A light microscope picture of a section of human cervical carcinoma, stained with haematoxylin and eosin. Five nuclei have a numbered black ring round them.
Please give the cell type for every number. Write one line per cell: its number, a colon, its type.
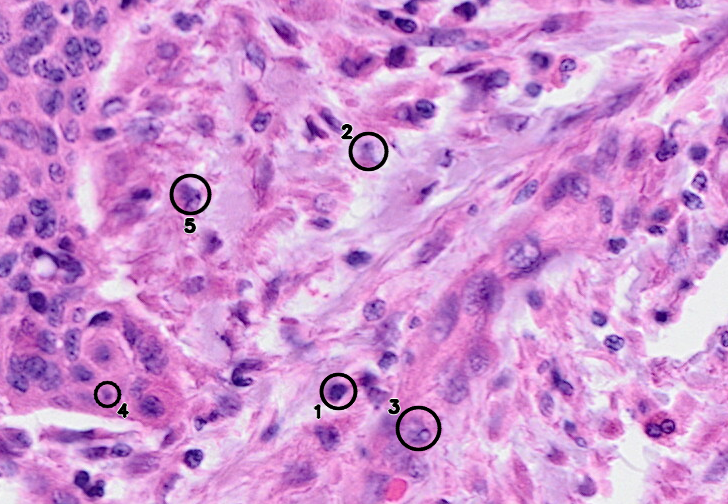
1: lymphocyte
2: fibroblast
3: endothelial cell
4: squamous carcinoma cell
5: macrophage or monocyte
